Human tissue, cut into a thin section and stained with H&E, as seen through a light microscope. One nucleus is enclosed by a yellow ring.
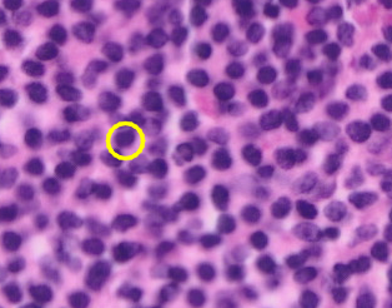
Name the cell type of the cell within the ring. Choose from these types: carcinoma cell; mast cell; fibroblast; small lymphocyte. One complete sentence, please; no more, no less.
At the level of cell identity, the cell within the ring is a small lymphocyte.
